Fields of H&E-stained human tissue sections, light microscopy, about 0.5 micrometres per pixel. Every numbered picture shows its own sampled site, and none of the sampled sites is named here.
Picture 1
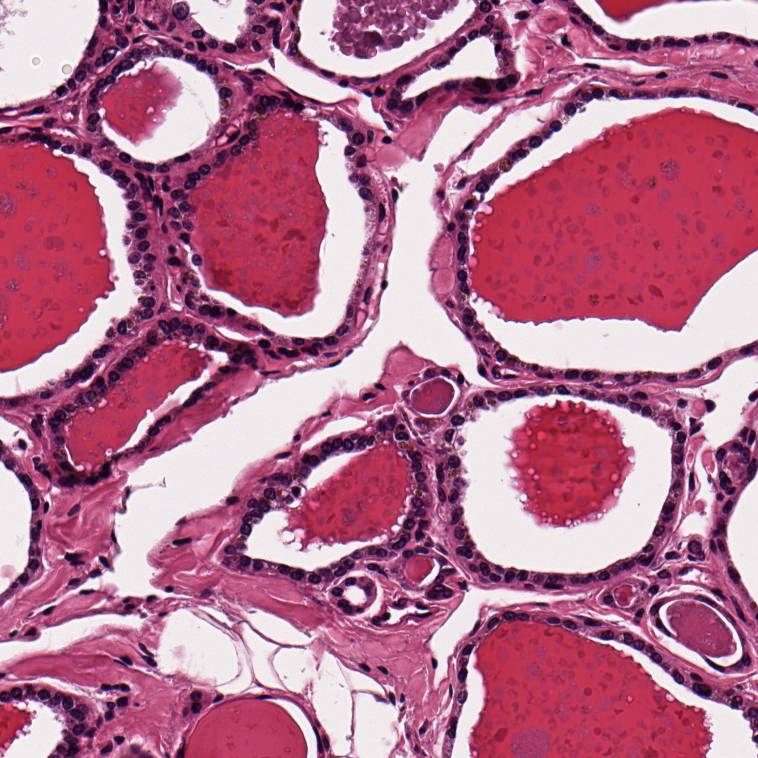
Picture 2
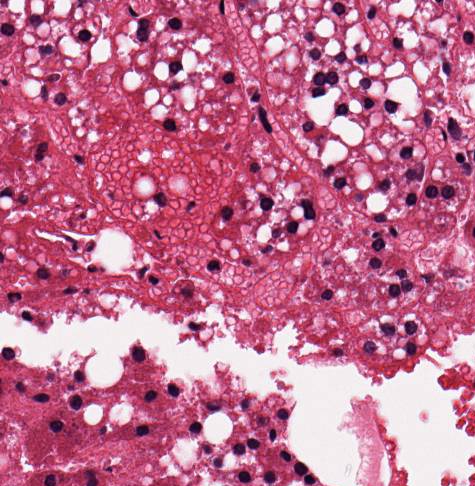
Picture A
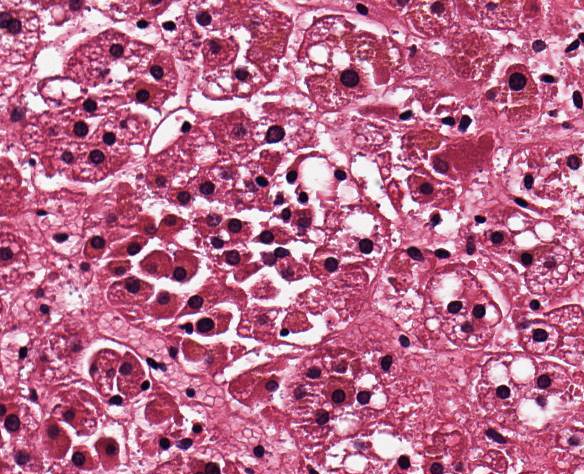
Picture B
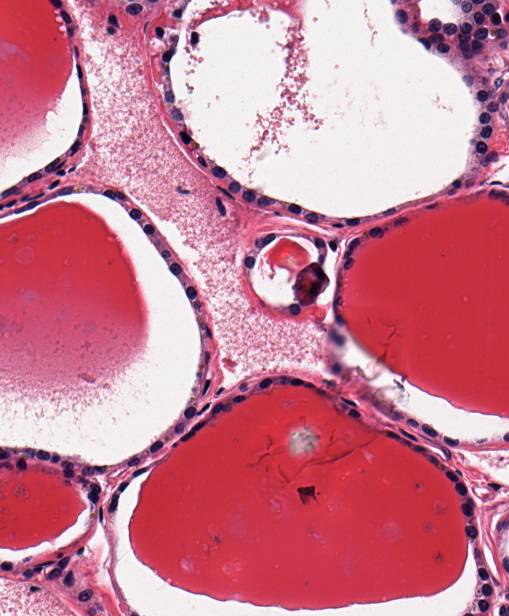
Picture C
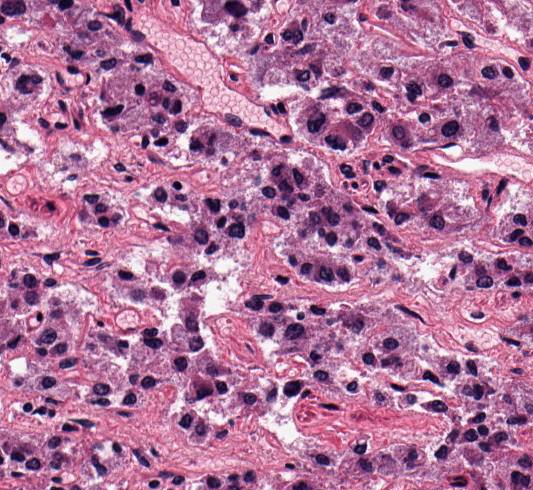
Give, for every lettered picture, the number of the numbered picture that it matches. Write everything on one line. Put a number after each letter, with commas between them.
A 2, B 1, C 2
